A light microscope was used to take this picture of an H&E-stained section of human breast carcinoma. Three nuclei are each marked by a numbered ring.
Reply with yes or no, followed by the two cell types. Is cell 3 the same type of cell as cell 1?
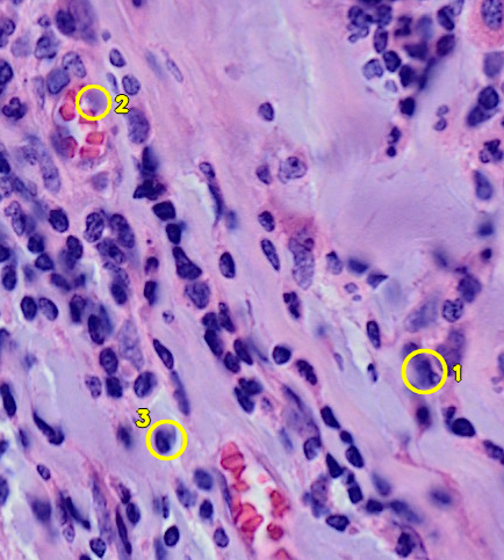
Yes, both are lymphocytes.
